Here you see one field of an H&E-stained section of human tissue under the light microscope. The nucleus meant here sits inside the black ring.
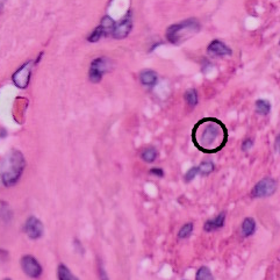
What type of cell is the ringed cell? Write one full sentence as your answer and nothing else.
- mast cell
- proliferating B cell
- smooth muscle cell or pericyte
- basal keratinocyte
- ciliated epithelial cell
In cellular terms, the ringed cell is a smooth muscle cell or pericyte.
